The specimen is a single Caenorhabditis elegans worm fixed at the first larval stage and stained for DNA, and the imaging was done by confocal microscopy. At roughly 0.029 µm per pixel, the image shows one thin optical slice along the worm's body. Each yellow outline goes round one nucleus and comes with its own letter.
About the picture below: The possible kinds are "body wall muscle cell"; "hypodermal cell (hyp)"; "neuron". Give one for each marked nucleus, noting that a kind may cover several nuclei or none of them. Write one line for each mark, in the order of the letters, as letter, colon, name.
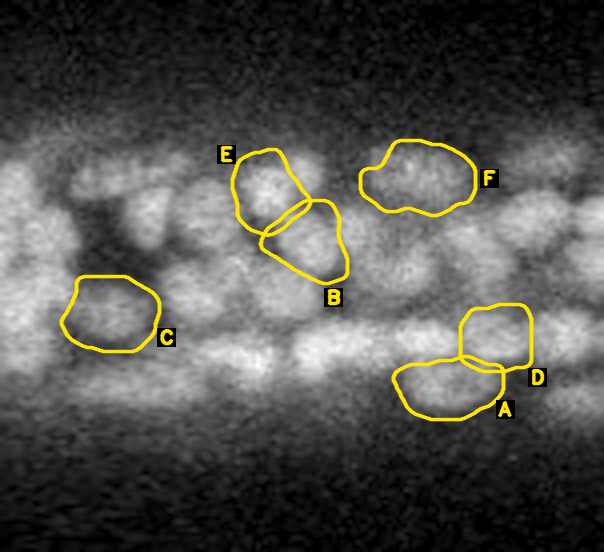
A: body wall muscle cell
B: neuron
C: neuron
D: hypodermal cell (hyp)
E: neuron
F: body wall muscle cell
